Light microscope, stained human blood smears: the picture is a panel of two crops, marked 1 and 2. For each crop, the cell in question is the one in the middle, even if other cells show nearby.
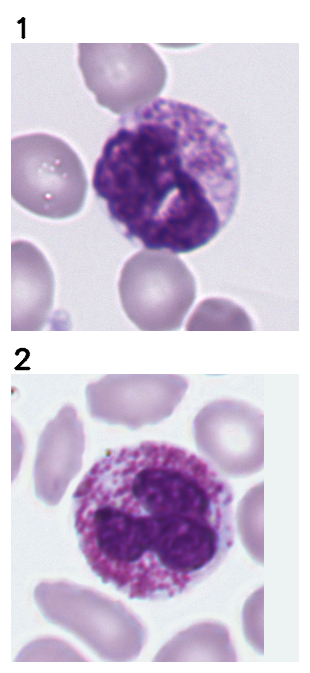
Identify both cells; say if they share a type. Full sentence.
No, crop 1 shows a basophil and crop 2 shows an eosinophil.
